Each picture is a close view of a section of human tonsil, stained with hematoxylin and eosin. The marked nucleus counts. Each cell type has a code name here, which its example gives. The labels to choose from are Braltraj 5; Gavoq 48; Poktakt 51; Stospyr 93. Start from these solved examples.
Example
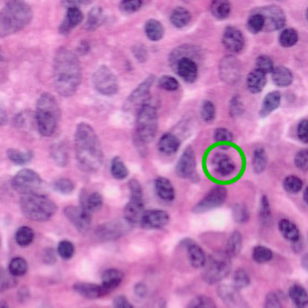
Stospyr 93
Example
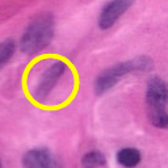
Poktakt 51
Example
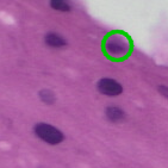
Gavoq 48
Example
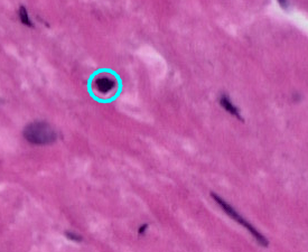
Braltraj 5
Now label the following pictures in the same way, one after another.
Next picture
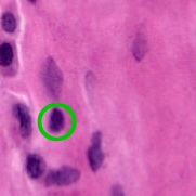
Braltraj 5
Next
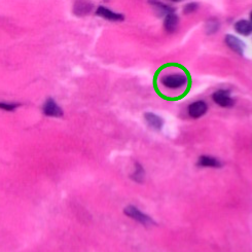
Braltraj 5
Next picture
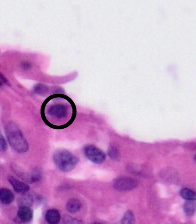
Stospyr 93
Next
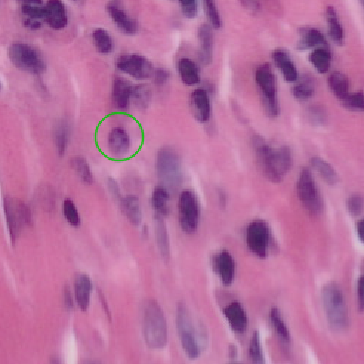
Braltraj 5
